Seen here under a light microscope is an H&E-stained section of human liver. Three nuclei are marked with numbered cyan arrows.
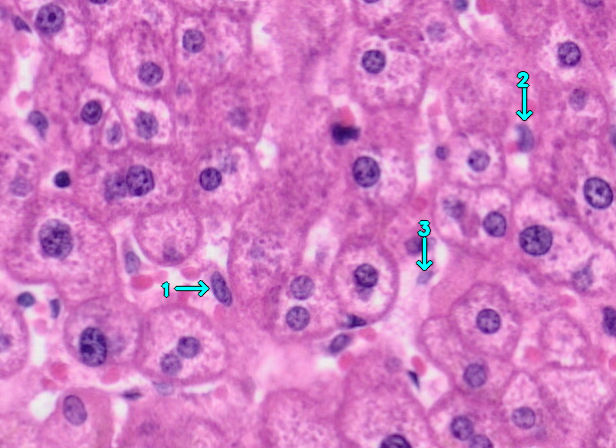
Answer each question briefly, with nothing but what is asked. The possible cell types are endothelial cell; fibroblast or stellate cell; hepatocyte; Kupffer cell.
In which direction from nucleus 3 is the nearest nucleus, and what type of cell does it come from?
a Kupffer cell; above nucleus 3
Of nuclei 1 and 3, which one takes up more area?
1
